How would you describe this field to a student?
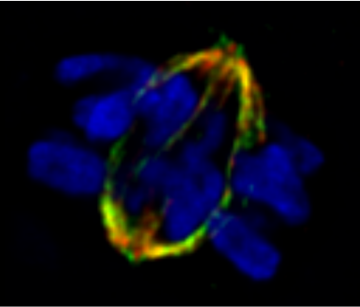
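A dividing cell shows a mitotic spindle as an elongated elliptical array of green and red fibres that overlap yellow along much of their length. The fibres bundle and taper toward two opposite ends. Blue nuclear staining lies around and beneath the spindle.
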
